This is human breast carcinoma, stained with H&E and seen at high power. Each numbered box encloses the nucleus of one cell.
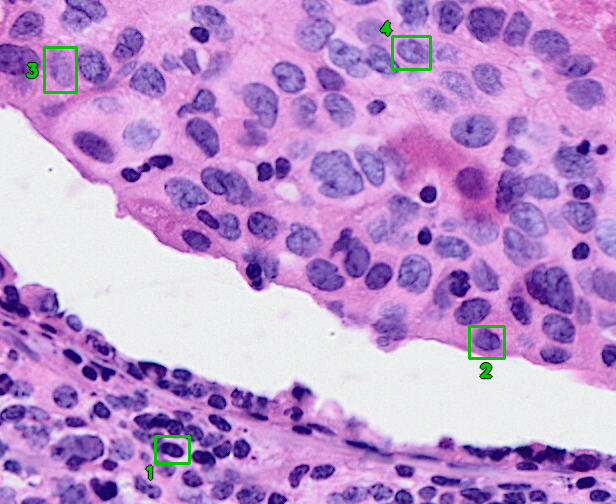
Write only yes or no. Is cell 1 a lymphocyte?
yes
